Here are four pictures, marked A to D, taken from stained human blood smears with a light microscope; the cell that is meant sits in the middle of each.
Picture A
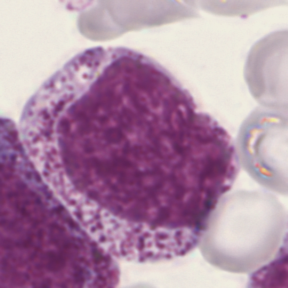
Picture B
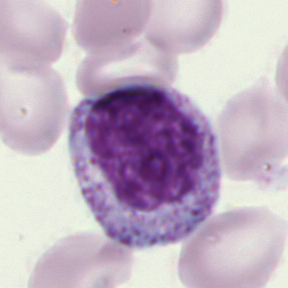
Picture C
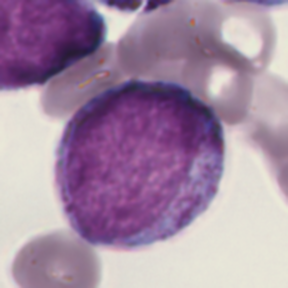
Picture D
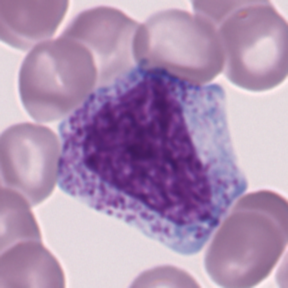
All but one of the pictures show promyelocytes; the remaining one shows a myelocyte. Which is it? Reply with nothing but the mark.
B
